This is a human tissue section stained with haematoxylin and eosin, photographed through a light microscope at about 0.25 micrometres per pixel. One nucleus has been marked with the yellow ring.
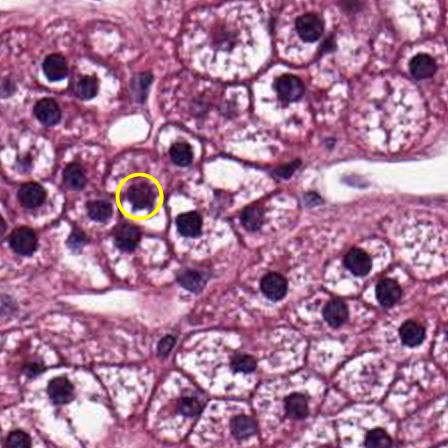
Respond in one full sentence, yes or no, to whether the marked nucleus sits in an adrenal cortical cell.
Yes, the marked nucleus is located in an adrenal cortical cell.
